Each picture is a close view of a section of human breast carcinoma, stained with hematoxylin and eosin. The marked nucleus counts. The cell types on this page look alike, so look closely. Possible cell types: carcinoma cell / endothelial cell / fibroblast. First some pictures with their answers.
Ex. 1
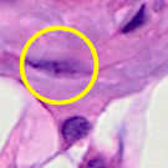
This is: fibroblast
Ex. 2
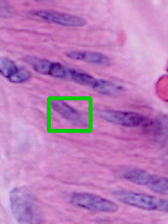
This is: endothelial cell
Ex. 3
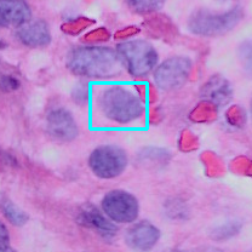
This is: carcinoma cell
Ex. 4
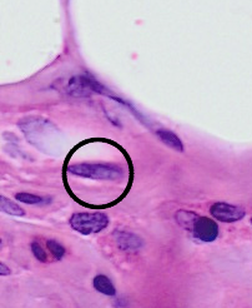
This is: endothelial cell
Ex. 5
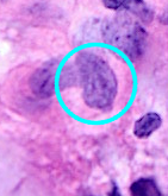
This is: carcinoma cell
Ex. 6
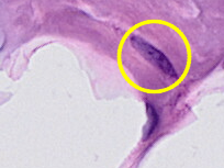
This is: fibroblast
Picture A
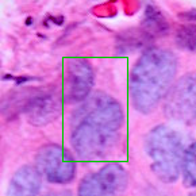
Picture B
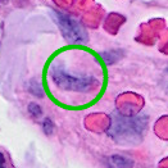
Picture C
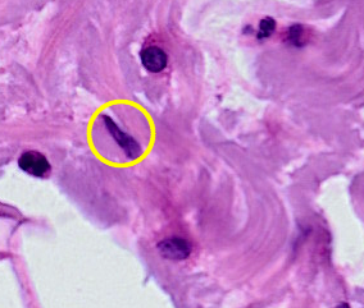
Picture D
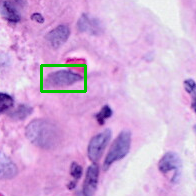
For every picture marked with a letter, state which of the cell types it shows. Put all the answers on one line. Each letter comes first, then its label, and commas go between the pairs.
A carcinoma cell, B endothelial cell, C fibroblast, D endothelial cell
